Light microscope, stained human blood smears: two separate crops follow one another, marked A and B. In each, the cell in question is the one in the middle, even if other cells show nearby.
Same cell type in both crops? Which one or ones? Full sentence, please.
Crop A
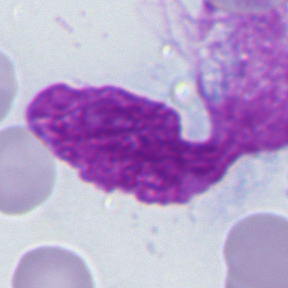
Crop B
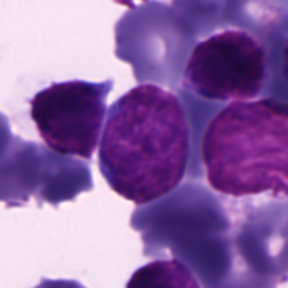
No, crop A features a smudge cell, and crop B features a myeloblast.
